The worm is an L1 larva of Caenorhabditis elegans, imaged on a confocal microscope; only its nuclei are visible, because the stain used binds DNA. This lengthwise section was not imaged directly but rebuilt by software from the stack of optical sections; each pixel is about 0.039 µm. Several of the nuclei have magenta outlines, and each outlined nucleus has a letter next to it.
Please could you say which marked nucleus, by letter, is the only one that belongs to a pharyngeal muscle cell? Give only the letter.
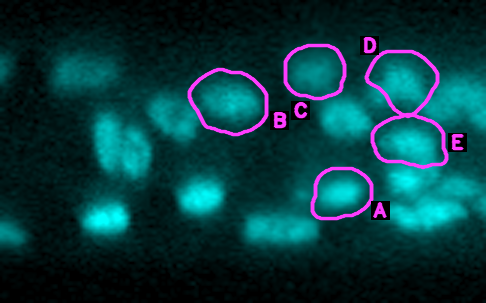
E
